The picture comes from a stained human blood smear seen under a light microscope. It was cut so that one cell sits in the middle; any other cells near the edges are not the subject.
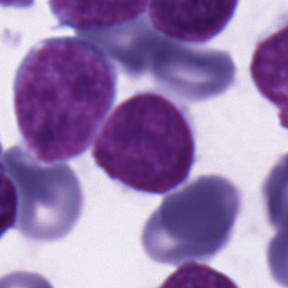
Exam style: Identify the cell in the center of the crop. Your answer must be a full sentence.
By type, the central cell of the crop is a myeloblast.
